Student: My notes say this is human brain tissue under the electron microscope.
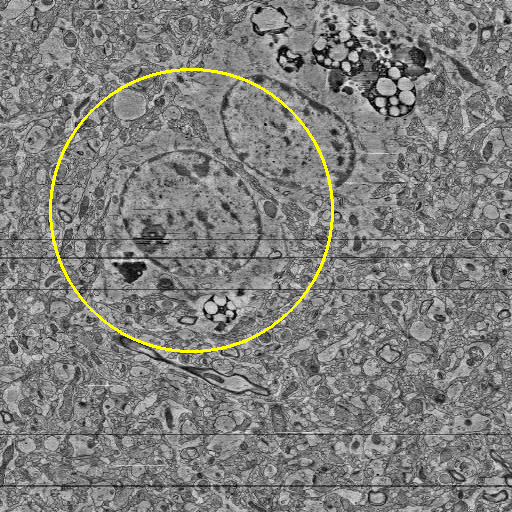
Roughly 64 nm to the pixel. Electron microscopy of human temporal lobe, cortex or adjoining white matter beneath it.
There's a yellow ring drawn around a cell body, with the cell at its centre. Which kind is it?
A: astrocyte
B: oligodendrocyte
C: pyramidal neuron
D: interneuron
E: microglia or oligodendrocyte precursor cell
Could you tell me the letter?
A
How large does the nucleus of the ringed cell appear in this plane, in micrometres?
The ringed cell's nucleus measures approximately 9 by 8 micrometres in this plane.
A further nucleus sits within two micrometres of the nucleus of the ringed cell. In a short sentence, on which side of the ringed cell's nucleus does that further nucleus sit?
That second nucleus is to the upper right of it.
